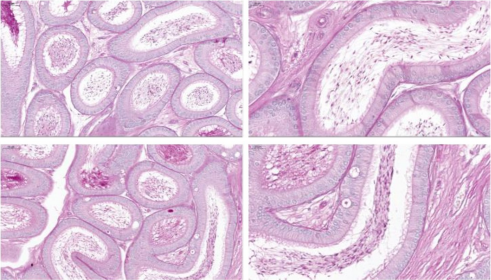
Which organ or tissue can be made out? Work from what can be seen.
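Epididymal. Many cross- and oblique sections of a coiled duct lie packed together. Each duct is lined by a tall columnar epithelium.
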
